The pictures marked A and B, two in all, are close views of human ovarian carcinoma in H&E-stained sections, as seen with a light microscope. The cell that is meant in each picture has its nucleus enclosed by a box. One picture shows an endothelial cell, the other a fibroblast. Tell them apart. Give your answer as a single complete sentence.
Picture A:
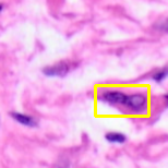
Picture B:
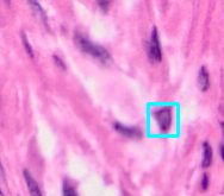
It is picture A that shows an endothelial cell, and picture B that shows a fibroblast.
